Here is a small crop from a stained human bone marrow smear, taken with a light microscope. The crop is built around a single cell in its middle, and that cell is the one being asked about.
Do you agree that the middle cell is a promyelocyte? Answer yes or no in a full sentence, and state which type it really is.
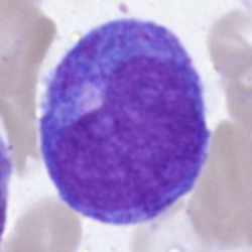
Yes, the one cell at the centre is a promyelocyte.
